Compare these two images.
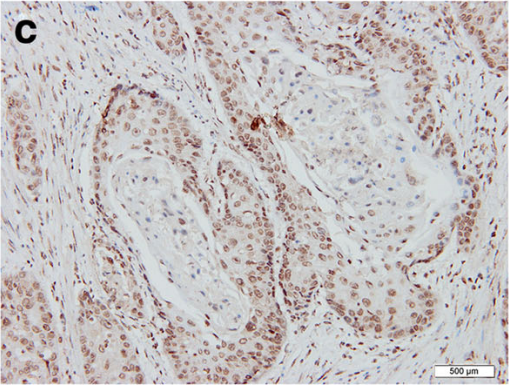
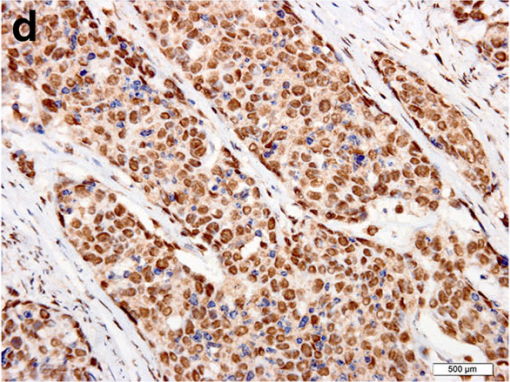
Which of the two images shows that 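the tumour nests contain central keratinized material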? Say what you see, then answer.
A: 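The first image. Second image: solid nests of uniform tumour cells without keratin in their centres. First image: nests with pale, keratinized centres surrounded by a rim of tumour cells.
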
